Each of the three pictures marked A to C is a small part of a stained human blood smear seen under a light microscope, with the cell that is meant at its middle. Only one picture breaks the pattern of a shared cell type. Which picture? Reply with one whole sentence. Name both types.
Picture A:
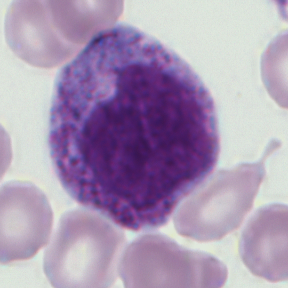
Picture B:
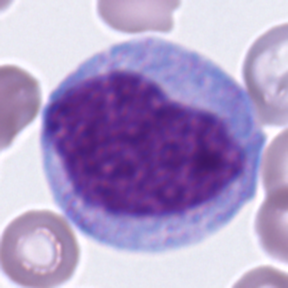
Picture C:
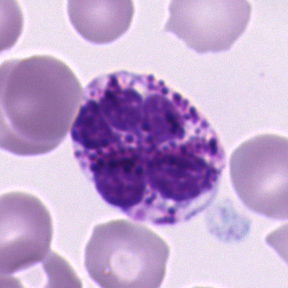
The different one is picture C; it shows a basophil, whereas all the others show promyelocytes.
